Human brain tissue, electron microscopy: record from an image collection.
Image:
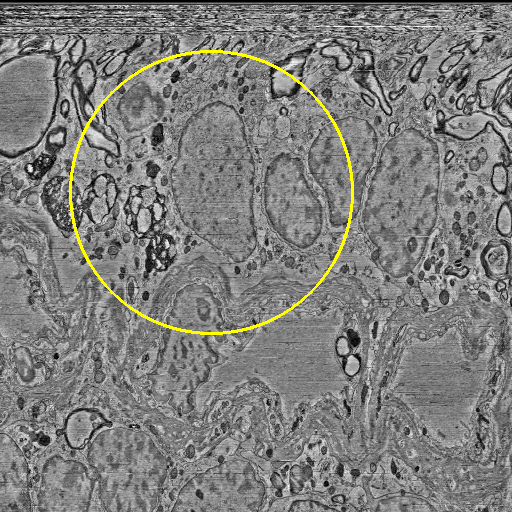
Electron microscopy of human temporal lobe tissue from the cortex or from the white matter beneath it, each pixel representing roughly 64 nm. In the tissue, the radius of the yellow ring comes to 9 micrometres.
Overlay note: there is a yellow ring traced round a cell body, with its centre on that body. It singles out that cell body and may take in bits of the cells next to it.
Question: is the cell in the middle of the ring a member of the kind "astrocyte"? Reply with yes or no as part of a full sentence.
Yes, the image's ringed cell, the one at the ring's centre, is a member of that kind.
